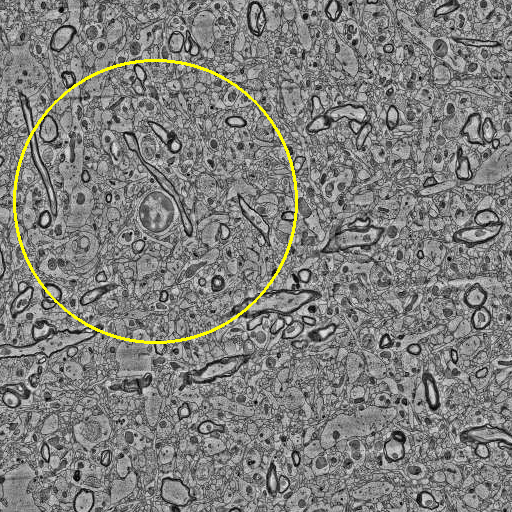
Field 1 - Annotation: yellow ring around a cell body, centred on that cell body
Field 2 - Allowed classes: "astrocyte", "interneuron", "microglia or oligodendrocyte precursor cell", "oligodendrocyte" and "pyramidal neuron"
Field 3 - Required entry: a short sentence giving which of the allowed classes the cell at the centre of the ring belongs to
The centred cell is a microglial cell or oligodendrocyte precursor cell.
